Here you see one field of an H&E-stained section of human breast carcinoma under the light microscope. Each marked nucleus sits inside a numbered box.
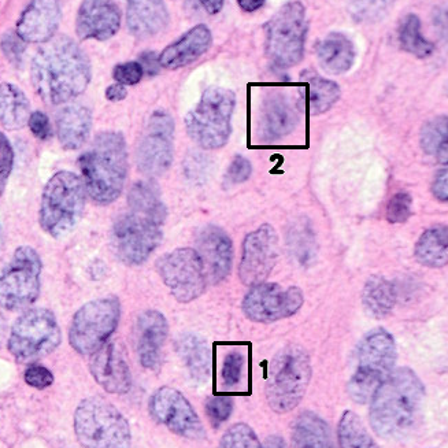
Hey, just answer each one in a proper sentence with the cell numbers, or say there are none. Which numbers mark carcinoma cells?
There is just one numbered cell that is a carcinoma cell, and it is cell 2.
